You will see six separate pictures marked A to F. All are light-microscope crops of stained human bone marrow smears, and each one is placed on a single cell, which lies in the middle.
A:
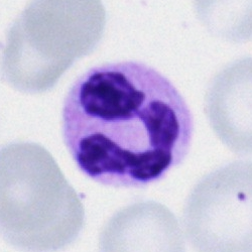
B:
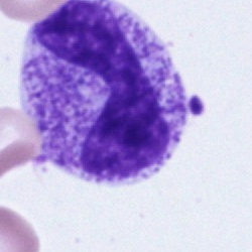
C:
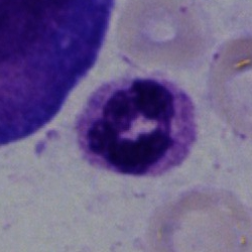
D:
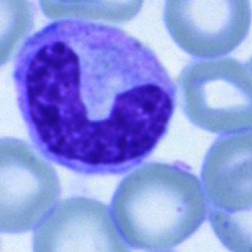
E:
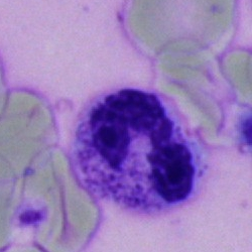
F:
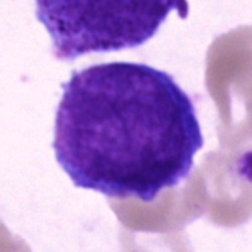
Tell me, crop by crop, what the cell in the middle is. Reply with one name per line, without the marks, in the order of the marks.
segmented neutrophil
band neutrophil
segmented neutrophil
band neutrophil
segmented neutrophil
blast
